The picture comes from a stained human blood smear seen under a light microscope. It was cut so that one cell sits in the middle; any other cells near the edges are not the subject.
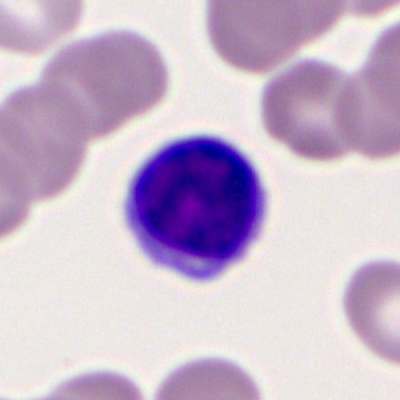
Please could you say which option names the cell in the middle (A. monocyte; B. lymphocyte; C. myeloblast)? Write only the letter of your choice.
B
